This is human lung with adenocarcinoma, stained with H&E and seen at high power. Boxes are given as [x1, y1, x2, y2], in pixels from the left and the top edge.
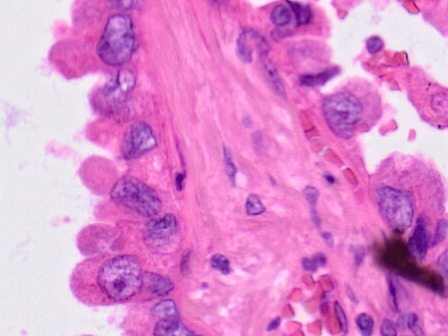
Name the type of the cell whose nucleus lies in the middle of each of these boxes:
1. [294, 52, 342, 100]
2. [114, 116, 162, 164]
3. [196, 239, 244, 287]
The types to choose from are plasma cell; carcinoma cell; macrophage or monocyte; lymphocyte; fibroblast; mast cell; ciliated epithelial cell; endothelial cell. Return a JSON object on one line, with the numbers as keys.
{"1": "carcinoma cell", "2": "carcinoma cell", "3": "lymphocyte"}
